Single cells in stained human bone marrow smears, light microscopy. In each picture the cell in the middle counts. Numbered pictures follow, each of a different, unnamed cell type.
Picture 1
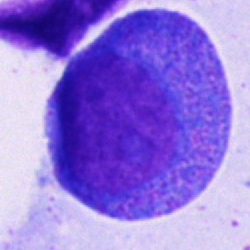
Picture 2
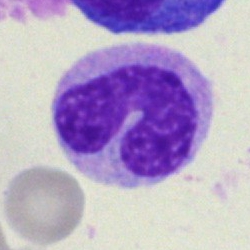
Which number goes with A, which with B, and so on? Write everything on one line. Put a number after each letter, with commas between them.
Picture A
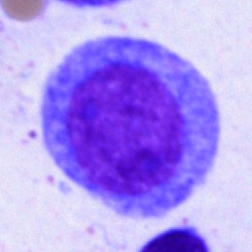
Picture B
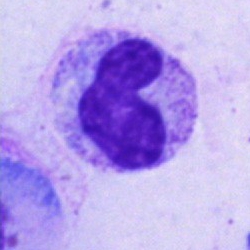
A 1, B 2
